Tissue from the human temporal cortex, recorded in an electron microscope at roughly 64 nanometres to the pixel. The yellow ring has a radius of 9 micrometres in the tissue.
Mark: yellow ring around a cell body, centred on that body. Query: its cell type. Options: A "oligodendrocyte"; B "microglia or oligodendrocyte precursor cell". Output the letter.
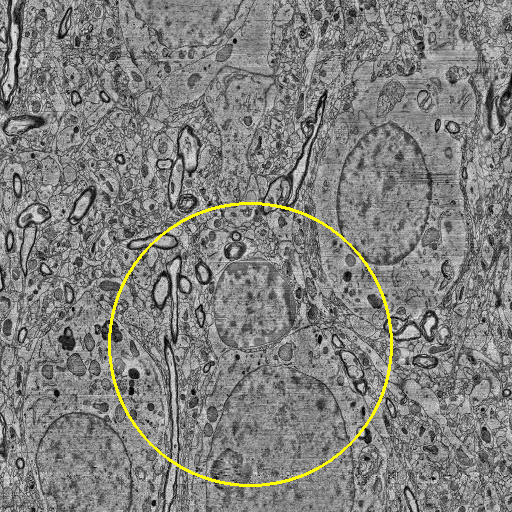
B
